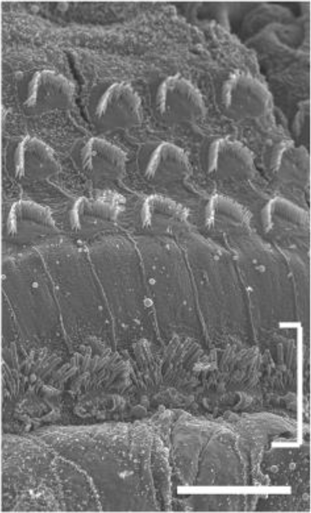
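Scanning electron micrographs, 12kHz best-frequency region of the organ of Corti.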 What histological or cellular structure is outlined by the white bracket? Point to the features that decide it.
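The bracket spans a single row of stereocilia bundles at the lower edge. Three rows of V-shaped bundles lie above, separated by a smooth band of cell surfaces. On this evidence: inner hair cell row.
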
